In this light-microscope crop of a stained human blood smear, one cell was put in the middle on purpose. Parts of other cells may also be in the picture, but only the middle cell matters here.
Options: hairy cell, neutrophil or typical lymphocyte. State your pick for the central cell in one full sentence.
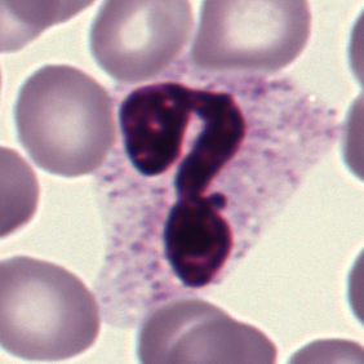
The central cell, amid any neighbouring cells, is a neutrophil.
